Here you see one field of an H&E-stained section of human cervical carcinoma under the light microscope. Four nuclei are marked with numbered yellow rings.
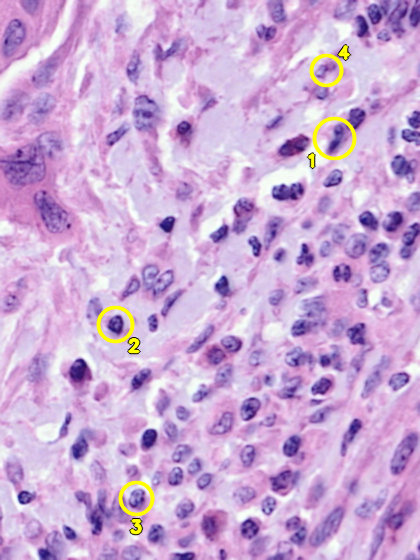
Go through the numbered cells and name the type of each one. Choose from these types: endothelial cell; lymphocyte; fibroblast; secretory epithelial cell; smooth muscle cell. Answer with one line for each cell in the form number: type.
1: lymphocyte
2: lymphocyte
3: lymphocyte
4: fibroblast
